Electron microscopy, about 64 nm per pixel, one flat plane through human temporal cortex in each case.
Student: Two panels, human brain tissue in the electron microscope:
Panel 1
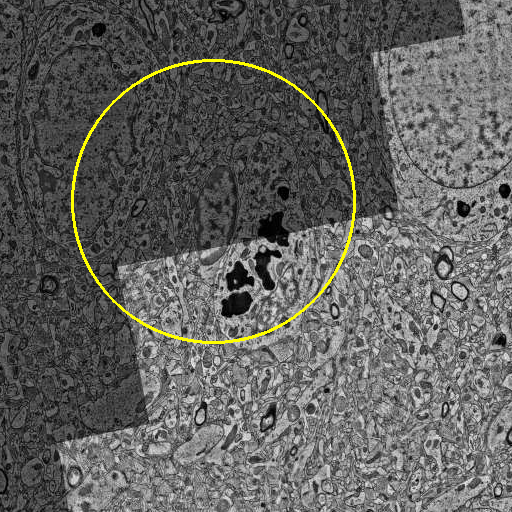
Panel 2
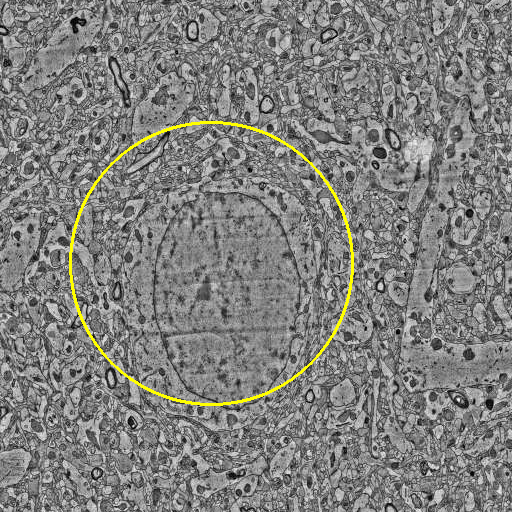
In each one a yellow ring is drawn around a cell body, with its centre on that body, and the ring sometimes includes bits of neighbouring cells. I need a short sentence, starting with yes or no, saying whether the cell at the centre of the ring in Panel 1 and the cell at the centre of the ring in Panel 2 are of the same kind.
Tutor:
No, they are two kinds of cell.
